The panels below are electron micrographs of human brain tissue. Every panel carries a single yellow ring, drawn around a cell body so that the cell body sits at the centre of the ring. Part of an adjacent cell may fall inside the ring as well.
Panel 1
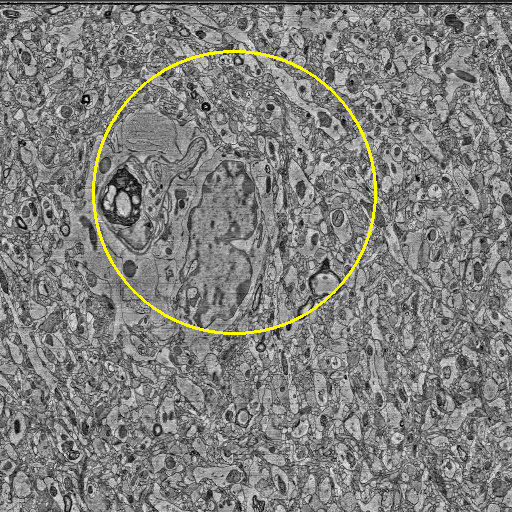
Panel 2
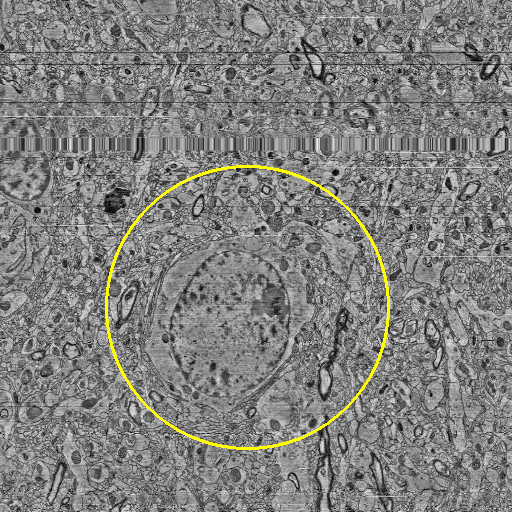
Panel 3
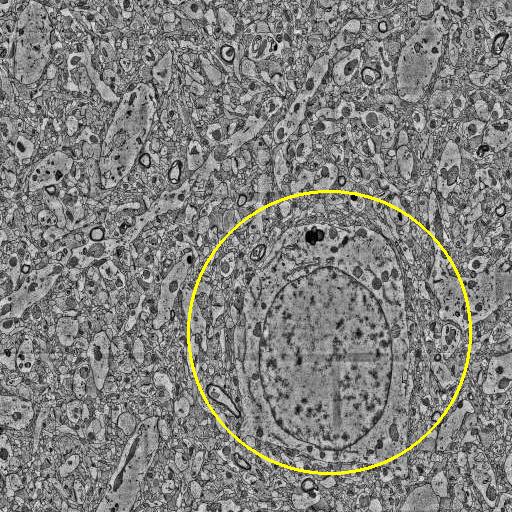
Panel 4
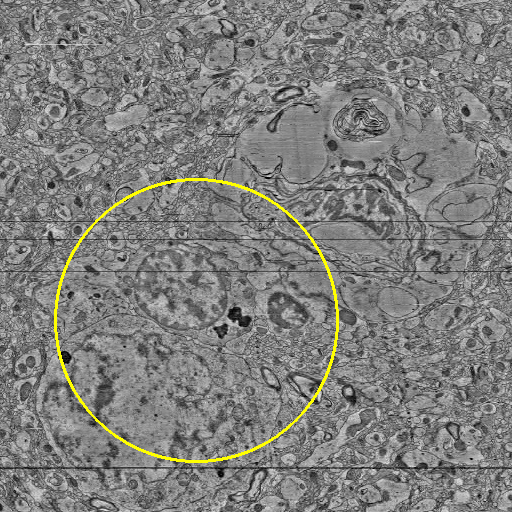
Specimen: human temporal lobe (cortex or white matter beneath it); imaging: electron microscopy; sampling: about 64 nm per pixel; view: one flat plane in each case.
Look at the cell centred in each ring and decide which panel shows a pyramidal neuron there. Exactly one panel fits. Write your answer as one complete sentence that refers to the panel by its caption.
Panel 3 has it at the centre of its ring.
